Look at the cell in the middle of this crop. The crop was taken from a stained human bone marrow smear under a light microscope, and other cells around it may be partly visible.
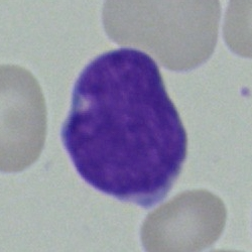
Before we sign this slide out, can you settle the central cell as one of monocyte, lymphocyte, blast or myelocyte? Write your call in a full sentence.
The cell in the middle of the field of view is a blast.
